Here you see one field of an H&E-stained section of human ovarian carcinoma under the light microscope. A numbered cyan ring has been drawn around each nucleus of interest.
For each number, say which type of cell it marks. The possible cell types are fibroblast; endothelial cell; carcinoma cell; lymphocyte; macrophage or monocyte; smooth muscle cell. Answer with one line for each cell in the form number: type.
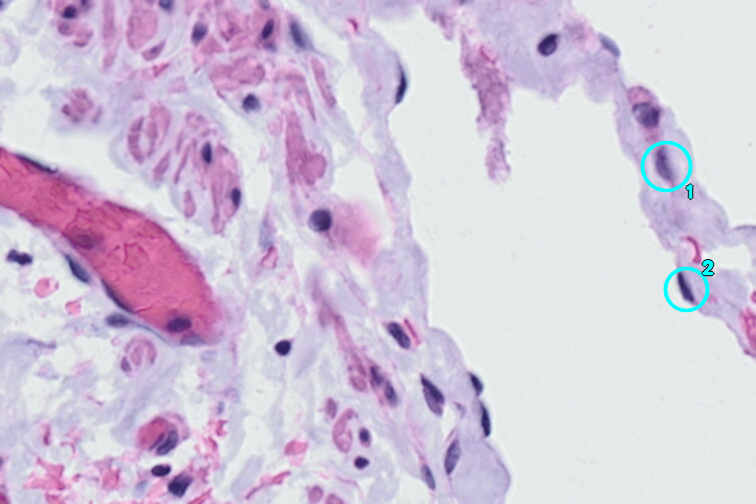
1: fibroblast
2: endothelial cell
